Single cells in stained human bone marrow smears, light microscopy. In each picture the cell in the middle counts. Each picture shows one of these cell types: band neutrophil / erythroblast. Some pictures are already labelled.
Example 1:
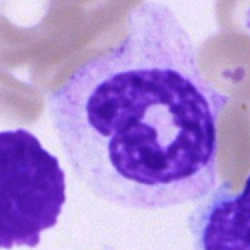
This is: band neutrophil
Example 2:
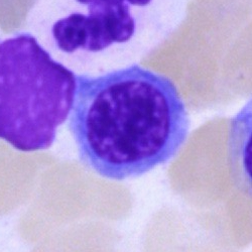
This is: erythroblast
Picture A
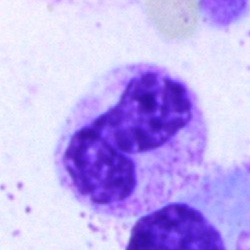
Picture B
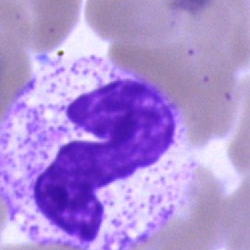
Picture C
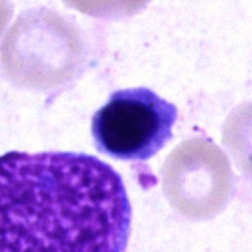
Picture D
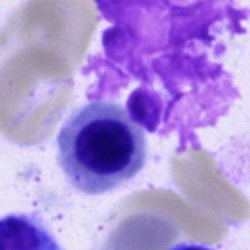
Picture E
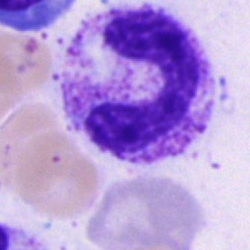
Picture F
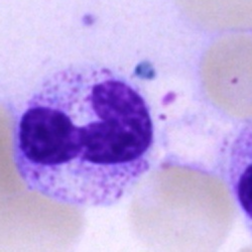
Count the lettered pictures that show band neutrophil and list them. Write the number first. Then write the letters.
4: A, B, E, F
